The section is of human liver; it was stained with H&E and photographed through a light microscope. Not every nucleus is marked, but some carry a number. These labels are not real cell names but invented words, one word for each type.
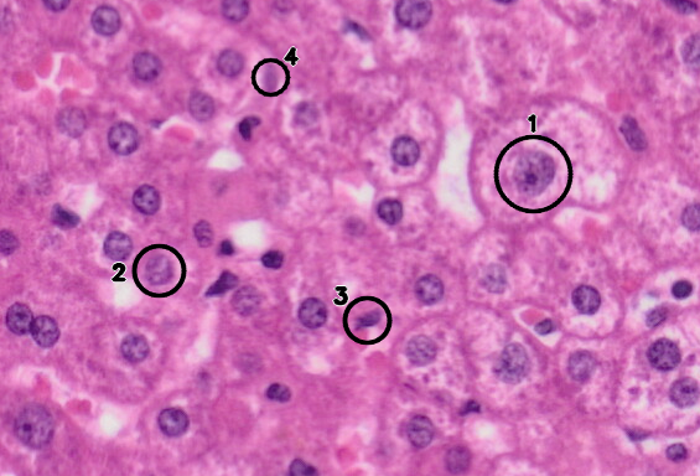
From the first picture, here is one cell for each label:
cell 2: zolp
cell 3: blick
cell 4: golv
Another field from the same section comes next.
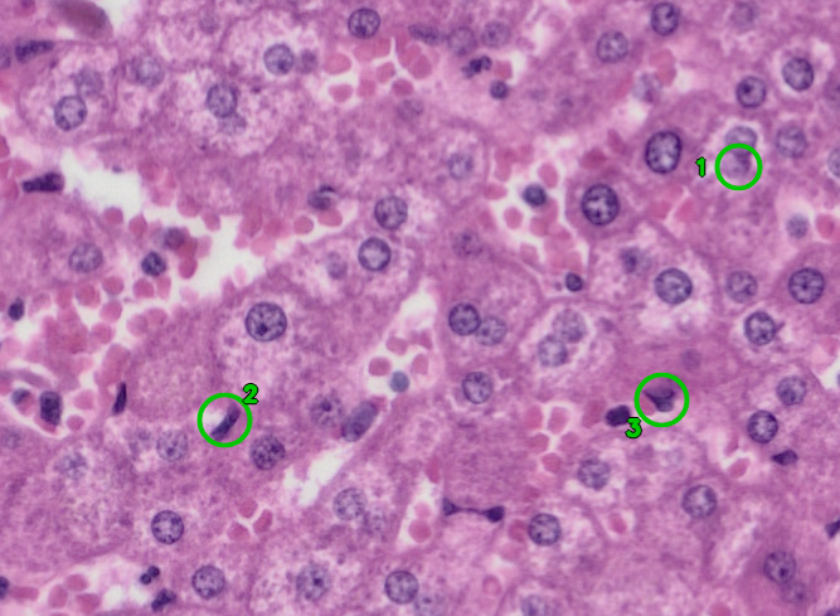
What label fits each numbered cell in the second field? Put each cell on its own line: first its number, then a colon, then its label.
1: zolp
2: blick
3: blick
